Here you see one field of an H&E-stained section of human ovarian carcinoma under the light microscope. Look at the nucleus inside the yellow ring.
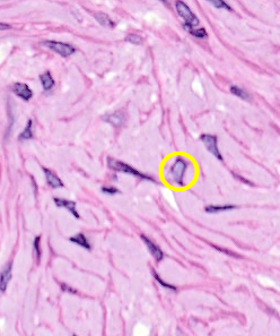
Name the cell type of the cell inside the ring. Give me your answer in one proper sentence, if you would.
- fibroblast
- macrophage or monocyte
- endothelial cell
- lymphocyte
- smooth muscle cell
The classification of the cell inside the ring is as a fibroblast.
